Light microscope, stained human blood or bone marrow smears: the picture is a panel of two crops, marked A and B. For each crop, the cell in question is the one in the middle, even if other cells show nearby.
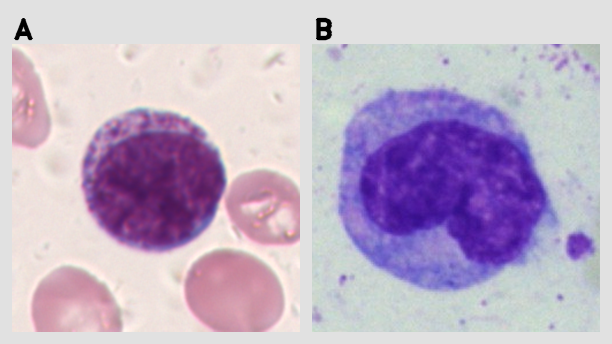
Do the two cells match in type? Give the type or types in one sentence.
No, on this set crop A shows a myelocyte and crop B shows a monocyte.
